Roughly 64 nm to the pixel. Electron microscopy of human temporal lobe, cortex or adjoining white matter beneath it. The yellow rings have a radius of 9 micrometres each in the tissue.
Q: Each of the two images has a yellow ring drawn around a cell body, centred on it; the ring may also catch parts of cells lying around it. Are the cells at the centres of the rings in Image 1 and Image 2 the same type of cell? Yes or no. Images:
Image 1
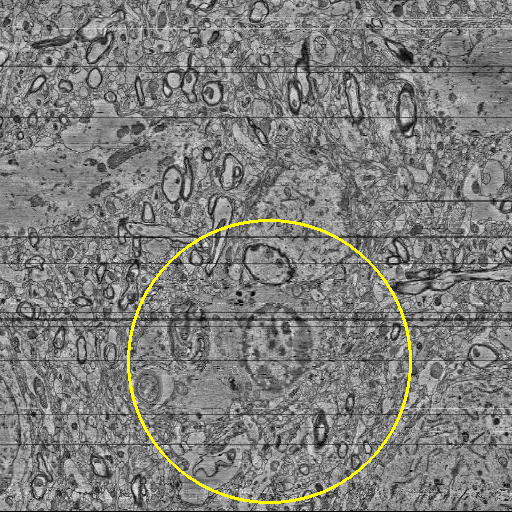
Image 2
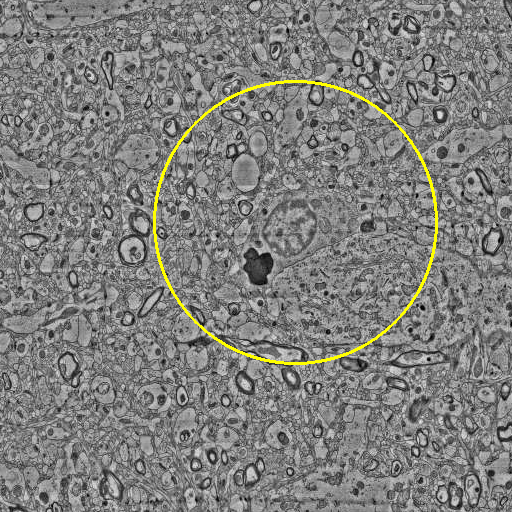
yes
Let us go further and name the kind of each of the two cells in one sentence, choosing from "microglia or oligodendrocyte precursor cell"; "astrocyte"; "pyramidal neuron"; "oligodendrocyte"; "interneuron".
Both cells are the same kind, each one being an oligodendrocyte.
